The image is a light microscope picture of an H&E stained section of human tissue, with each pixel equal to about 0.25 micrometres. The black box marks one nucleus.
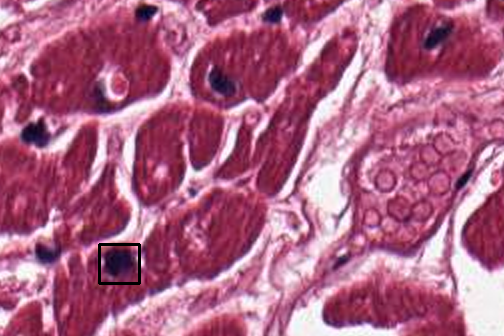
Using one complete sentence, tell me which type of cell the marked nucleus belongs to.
A nucleus belonging to a cardiomyocyte is the one marked.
